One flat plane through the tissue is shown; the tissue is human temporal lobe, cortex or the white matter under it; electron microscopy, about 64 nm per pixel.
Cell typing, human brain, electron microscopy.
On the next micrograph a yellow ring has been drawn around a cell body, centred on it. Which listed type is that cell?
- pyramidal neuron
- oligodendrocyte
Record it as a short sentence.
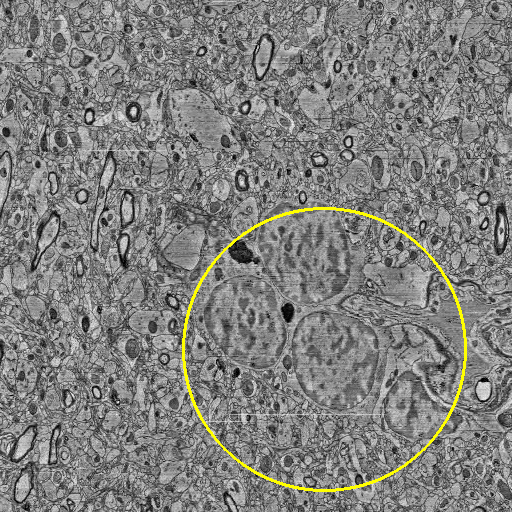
The cell body in the ring's centre belongs to an oligodendrocyte.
